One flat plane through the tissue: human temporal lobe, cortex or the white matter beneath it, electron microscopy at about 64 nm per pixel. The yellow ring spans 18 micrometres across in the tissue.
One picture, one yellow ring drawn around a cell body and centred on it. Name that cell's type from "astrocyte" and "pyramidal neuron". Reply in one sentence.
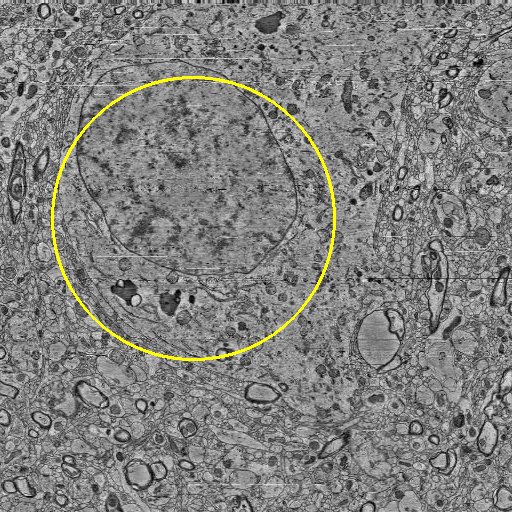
Centred in the ring is a pyramidal neuron.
